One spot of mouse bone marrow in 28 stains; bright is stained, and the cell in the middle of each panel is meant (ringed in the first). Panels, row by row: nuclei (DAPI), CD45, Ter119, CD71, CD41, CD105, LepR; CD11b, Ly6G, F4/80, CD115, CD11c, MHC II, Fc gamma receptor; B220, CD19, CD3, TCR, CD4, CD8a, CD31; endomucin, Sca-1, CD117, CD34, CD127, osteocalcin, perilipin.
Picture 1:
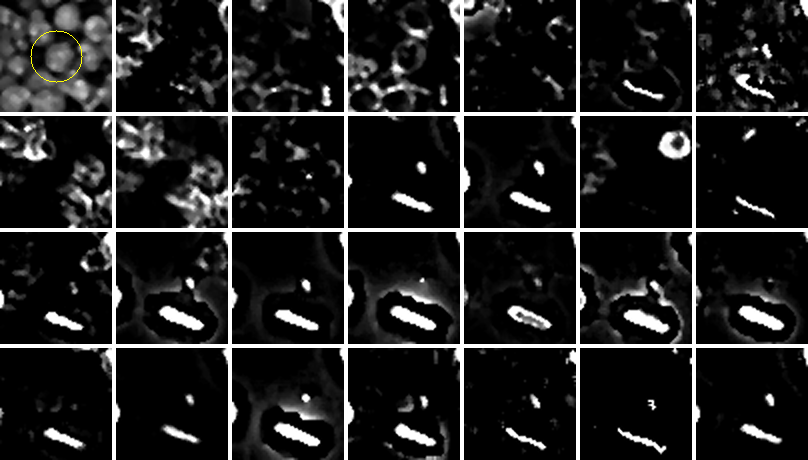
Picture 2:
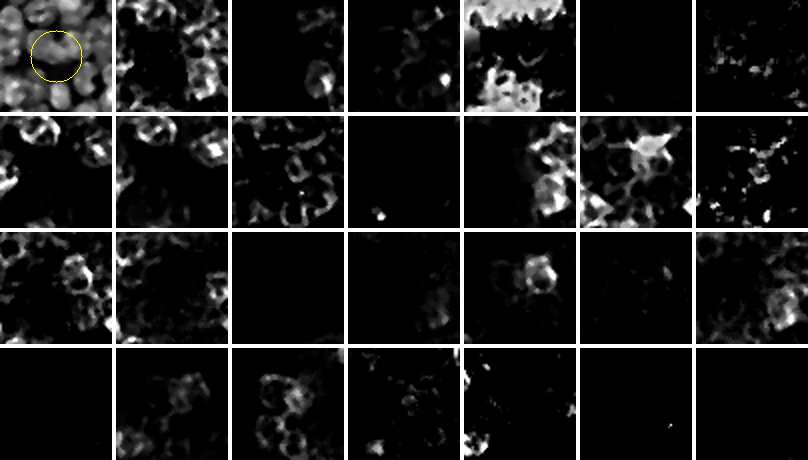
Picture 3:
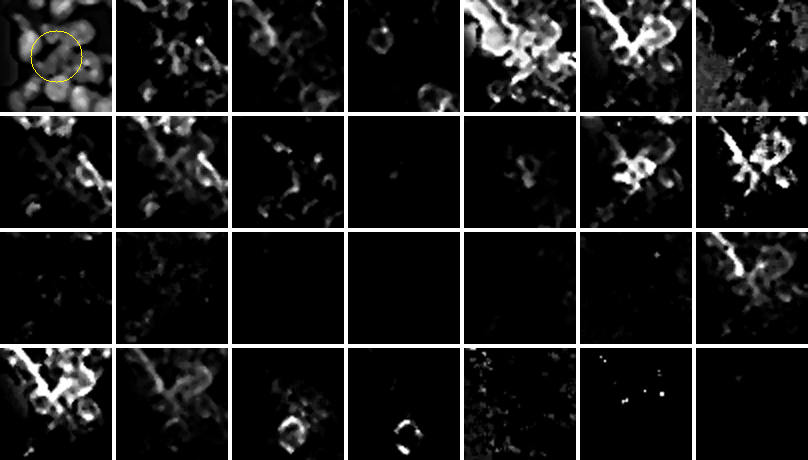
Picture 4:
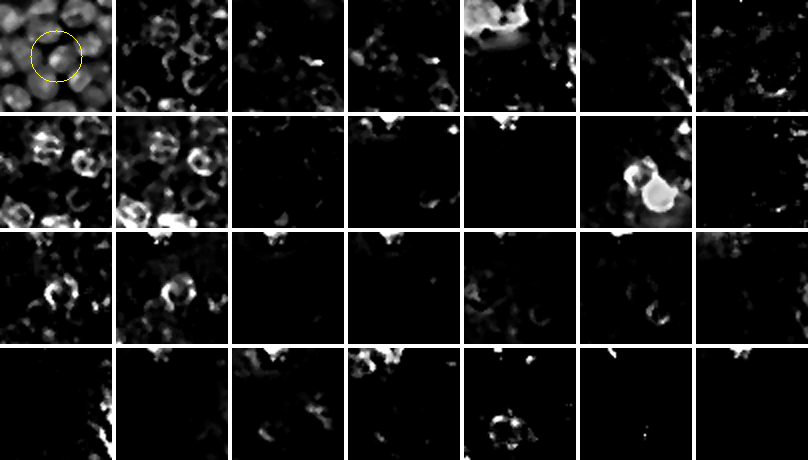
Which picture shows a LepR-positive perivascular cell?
Picture 1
